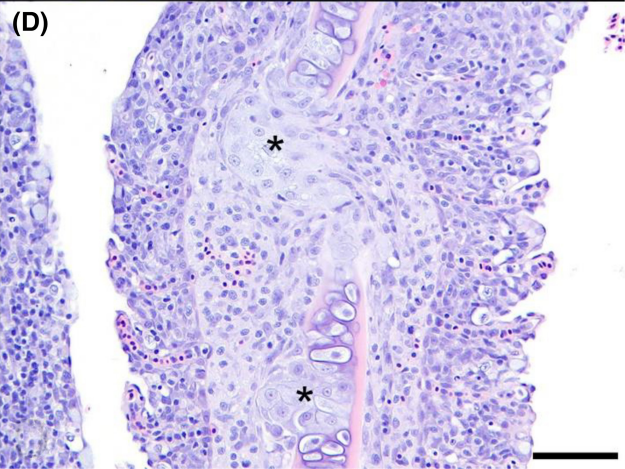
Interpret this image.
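This gill filament shows its supporting cartilage: segments of a rod made of large, clear, vacuolated chondrocytes in a pink matrix. Beside and between the segments lie pale, disorderly clusters of large rounded cells, an abnormal regeneration of the cartilage, while the surrounding filament is crowded with blue-stained cells.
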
